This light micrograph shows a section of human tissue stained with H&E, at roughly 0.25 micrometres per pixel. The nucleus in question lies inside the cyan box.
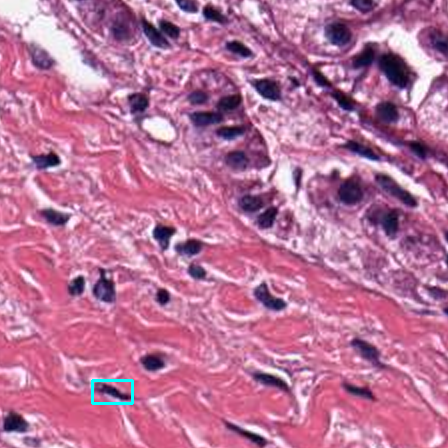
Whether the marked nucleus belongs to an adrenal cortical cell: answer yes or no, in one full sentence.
No, the marked nucleus has its place in a supporting cell rather than in an adrenal cortical cell.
